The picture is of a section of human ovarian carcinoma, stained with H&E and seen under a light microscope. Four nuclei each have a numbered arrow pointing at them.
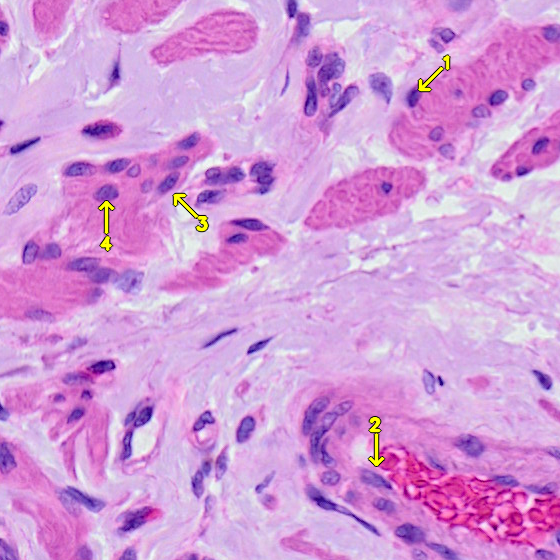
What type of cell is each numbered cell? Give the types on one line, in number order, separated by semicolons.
smooth muscle cell; endothelial cell; smooth muscle cell; smooth muscle cell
